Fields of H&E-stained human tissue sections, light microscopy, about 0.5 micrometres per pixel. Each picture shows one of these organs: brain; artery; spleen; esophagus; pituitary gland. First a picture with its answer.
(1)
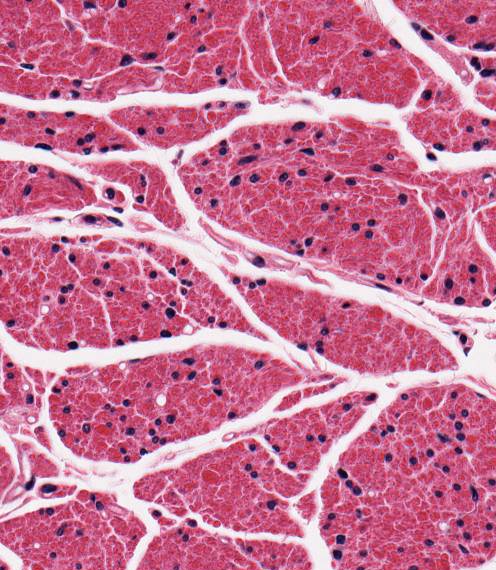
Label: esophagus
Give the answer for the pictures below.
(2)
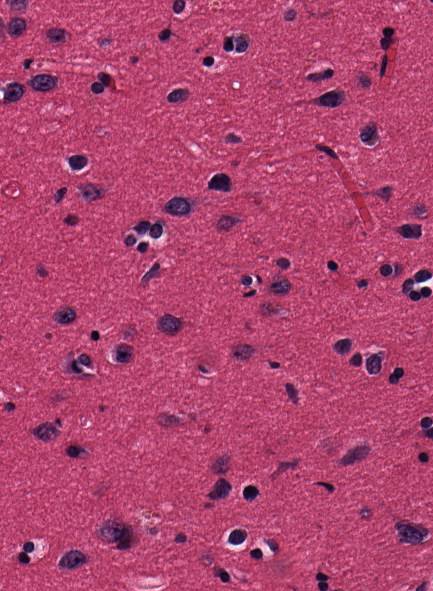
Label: brain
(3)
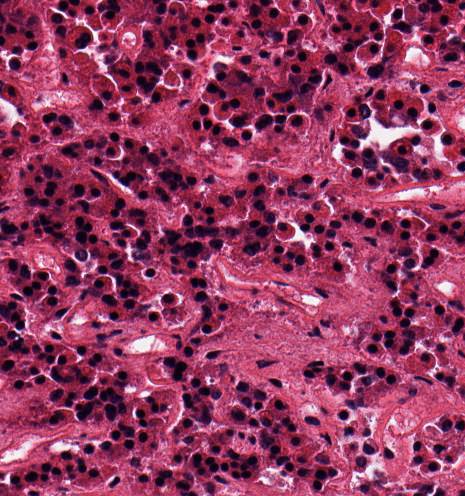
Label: pituitary gland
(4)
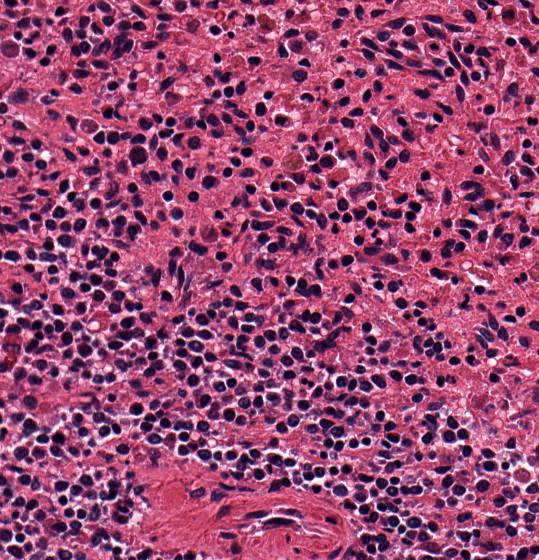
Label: spleen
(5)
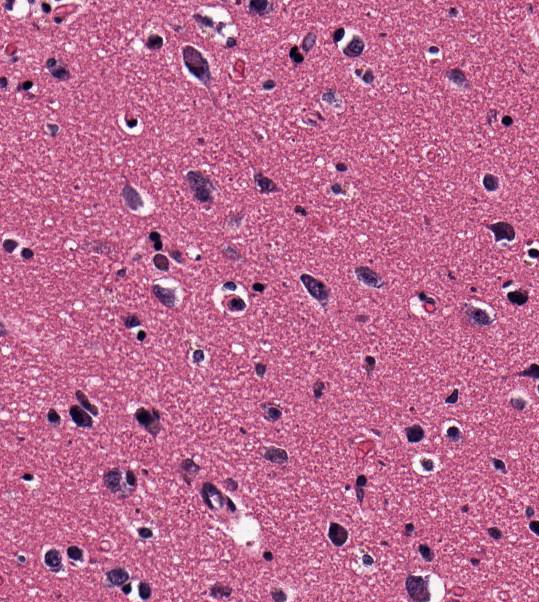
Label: brain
